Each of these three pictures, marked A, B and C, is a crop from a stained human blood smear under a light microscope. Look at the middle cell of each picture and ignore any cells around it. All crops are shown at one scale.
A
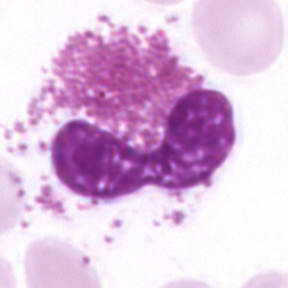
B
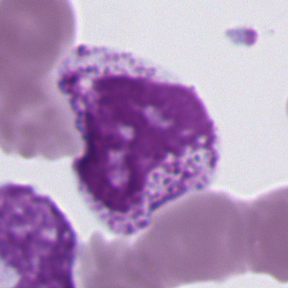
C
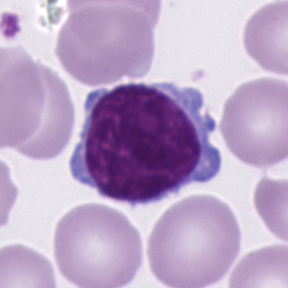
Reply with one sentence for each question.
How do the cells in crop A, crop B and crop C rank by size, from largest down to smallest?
Largest first: A, B, C.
